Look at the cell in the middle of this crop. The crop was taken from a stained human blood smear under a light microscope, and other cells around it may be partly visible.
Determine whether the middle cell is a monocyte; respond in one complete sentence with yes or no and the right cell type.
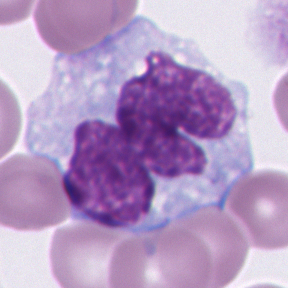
Yes, as for the central cell, it is a monocyte.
